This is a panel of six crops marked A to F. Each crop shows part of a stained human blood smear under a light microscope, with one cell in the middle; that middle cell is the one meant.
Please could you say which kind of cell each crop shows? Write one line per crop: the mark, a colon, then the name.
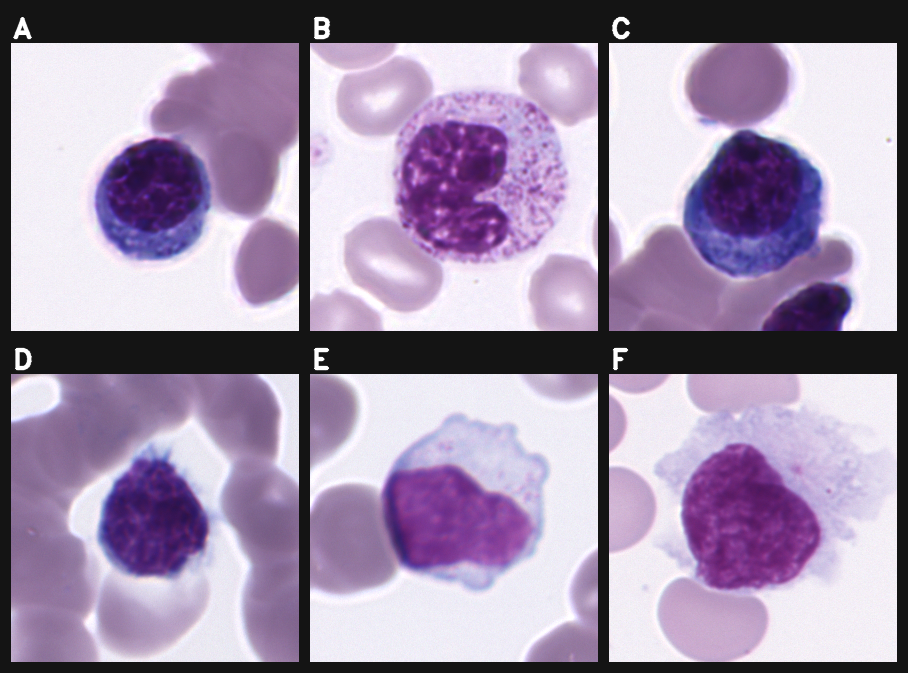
A: plasma cell
B: metamyelocyte
C: plasma cell
D: hairy cell
E: large granular lymphocyte
F: hairy cell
